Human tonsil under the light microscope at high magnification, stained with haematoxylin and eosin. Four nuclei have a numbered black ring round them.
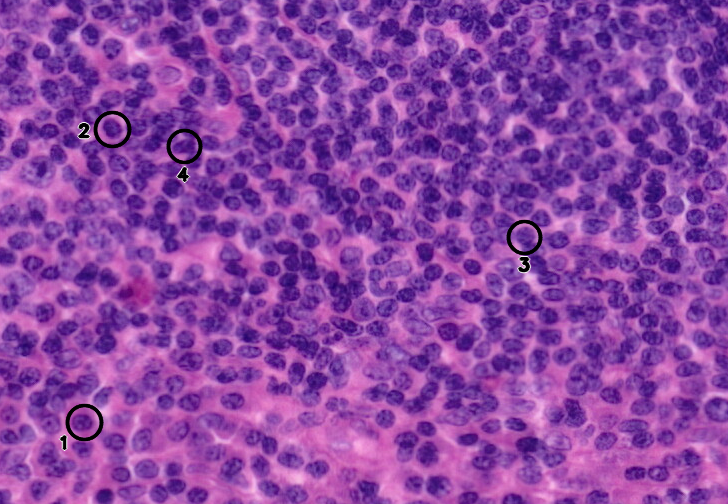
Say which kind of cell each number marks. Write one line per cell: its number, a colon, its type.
1: plasma cell
2: small lymphocyte
3: small lymphocyte
4: small lymphocyte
